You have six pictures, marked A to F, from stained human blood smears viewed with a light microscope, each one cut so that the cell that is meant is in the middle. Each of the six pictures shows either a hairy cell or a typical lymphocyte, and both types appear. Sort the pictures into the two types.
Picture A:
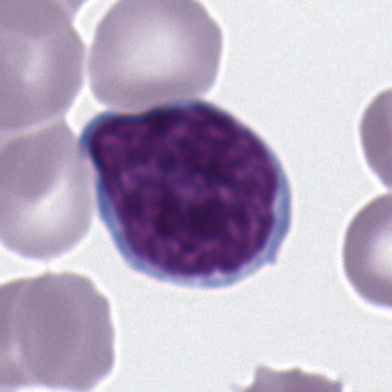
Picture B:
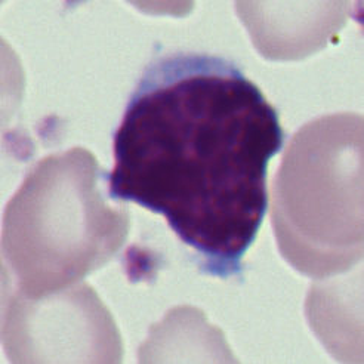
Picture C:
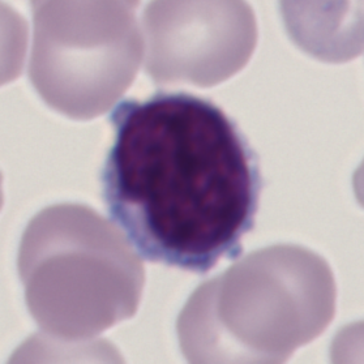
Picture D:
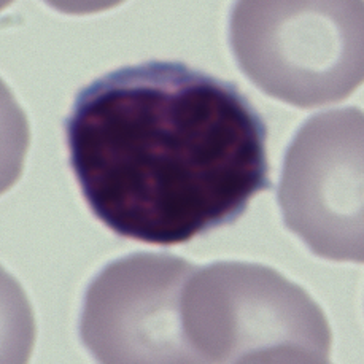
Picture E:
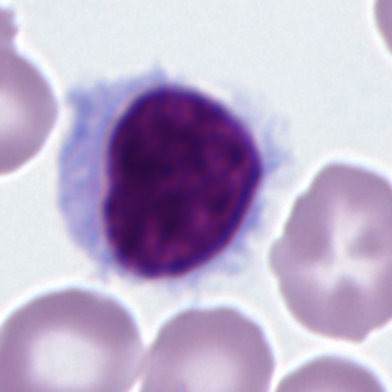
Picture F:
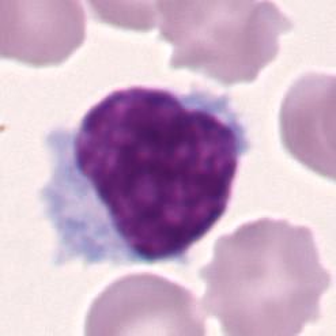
A: typical lymphocyte
B: typical lymphocyte
C: typical lymphocyte
D: typical lymphocyte
E: hairy cell
F: hairy cell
